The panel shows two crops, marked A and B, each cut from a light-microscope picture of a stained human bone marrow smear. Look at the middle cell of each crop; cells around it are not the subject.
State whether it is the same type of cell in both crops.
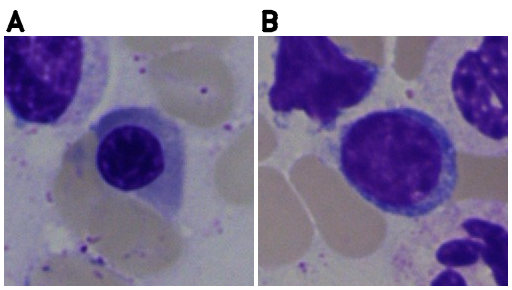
no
